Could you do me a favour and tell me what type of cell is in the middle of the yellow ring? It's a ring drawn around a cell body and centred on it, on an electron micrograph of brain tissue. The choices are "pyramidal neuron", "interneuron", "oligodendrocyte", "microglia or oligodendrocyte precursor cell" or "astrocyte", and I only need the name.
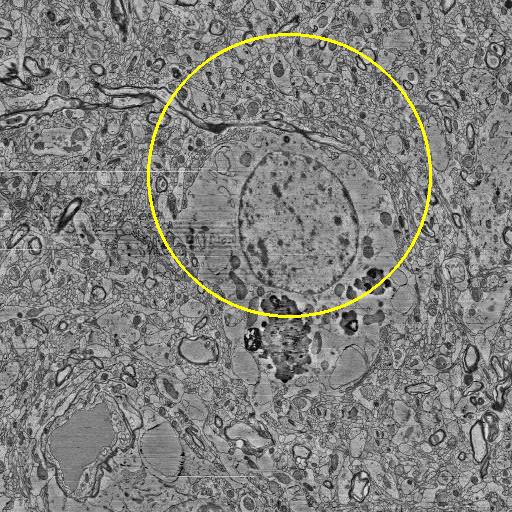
astrocyte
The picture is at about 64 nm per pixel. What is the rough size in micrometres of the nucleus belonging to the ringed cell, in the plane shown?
The nucleus measures about 10 by 8 micrometres in this plane.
